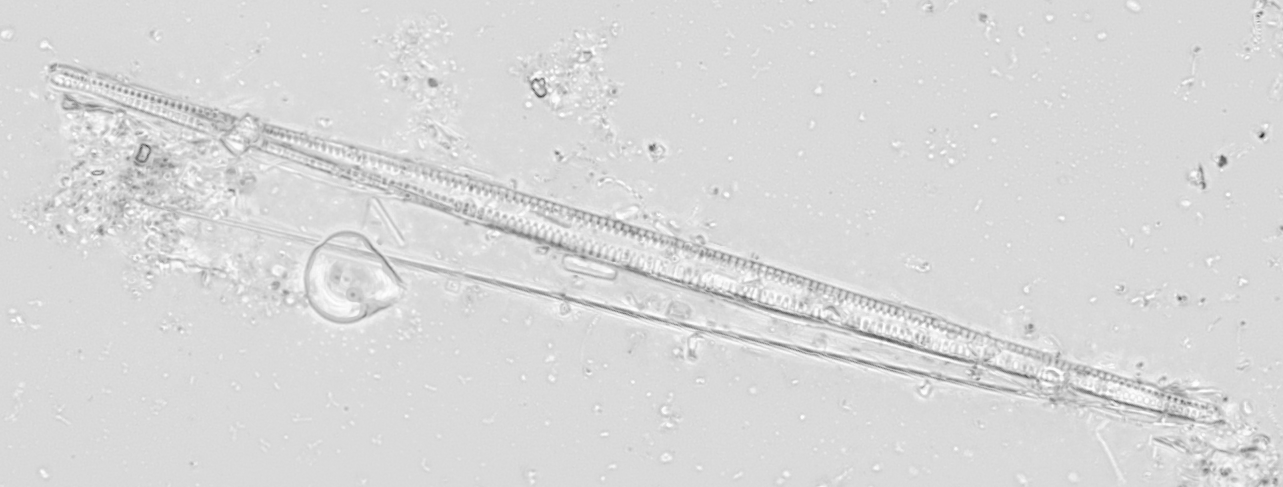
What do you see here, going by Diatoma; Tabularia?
I see Tabularia.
